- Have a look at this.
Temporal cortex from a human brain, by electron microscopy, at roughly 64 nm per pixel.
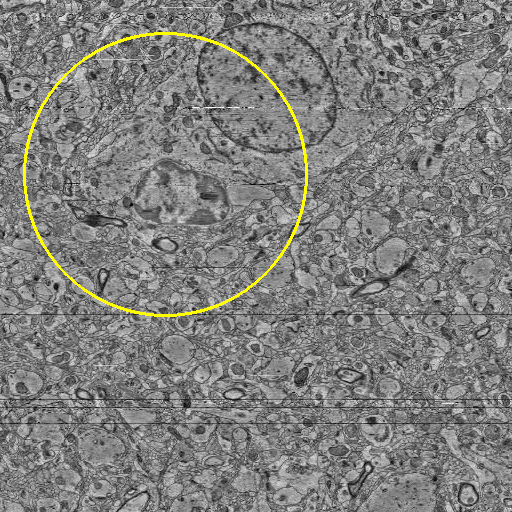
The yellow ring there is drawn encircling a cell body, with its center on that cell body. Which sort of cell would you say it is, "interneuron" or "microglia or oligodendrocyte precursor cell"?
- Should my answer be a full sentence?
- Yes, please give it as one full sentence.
For this picture, a microglial cell or oligodendrocyte precursor cell is the cell where the yellow ring has its center.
